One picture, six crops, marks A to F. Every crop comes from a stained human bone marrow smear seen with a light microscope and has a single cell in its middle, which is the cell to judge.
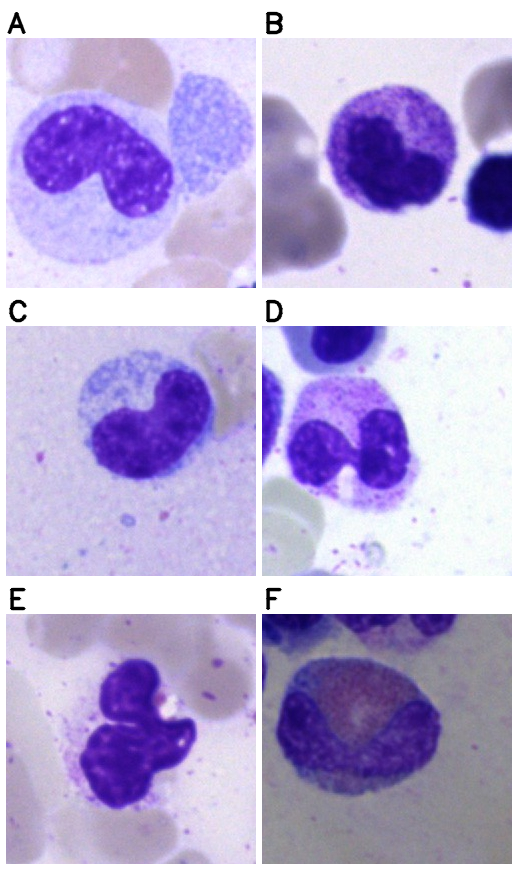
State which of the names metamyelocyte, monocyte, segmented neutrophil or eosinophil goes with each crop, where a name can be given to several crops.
A: metamyelocyte
B: metamyelocyte
C: metamyelocyte
D: segmented neutrophil
E: segmented neutrophil
F: eosinophil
